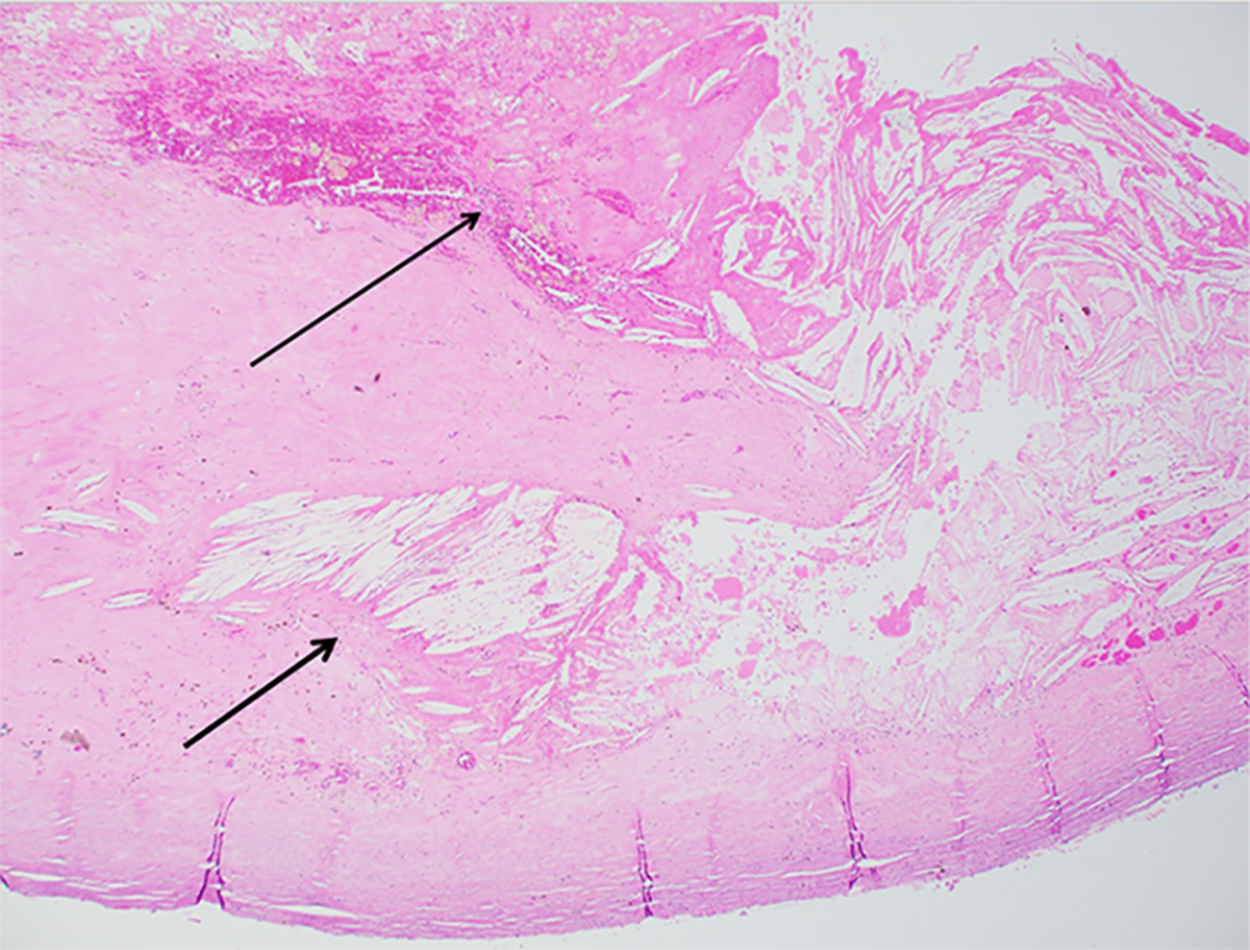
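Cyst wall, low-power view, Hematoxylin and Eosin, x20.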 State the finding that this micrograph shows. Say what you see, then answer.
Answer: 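Absence of epithelial lining. No layer of lining cells is visible along the edges of the cyst wall. The wall is made of pink, sparsely cellular fibrous and amorphous material.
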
